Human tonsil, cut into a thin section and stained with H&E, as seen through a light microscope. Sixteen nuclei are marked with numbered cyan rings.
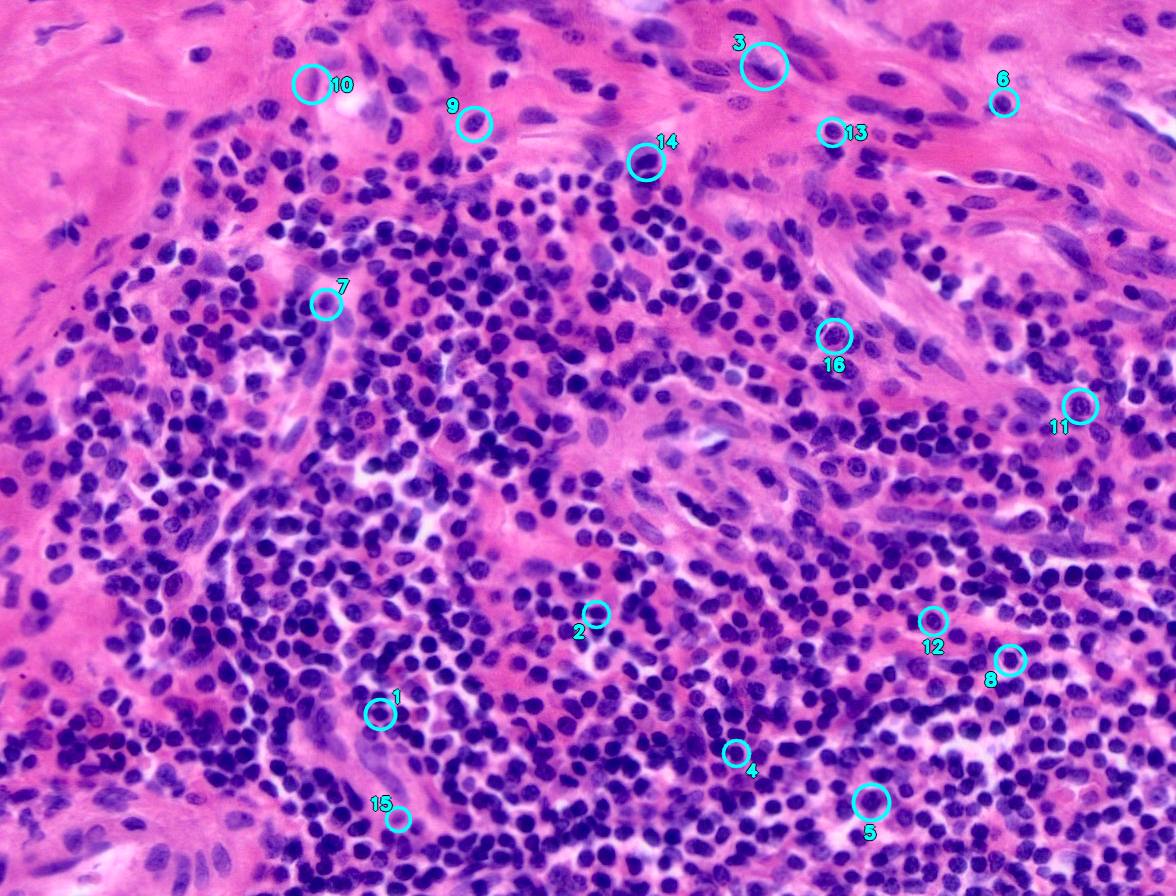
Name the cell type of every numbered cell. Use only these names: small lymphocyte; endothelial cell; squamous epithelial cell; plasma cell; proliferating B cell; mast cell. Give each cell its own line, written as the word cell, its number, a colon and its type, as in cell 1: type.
cell 1: small lymphocyte
cell 2: small lymphocyte
cell 3: endothelial cell
cell 4: small lymphocyte
cell 5: plasma cell
cell 6: mast cell
cell 7: endothelial cell
cell 8: small lymphocyte
cell 9: mast cell
cell 10: endothelial cell
cell 11: plasma cell
cell 12: plasma cell
cell 13: mast cell
cell 14: endothelial cell
cell 15: endothelial cell
cell 16: plasma cell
